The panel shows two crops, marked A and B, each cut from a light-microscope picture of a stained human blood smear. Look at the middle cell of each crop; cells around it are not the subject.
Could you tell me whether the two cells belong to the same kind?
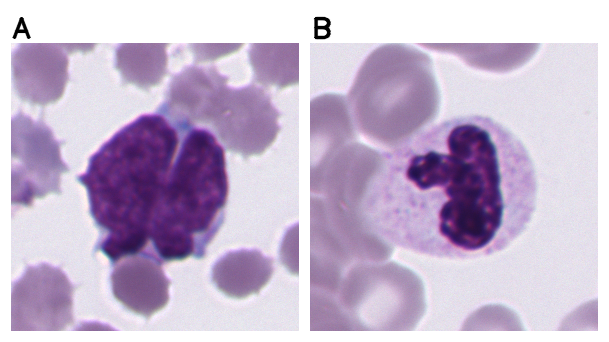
no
